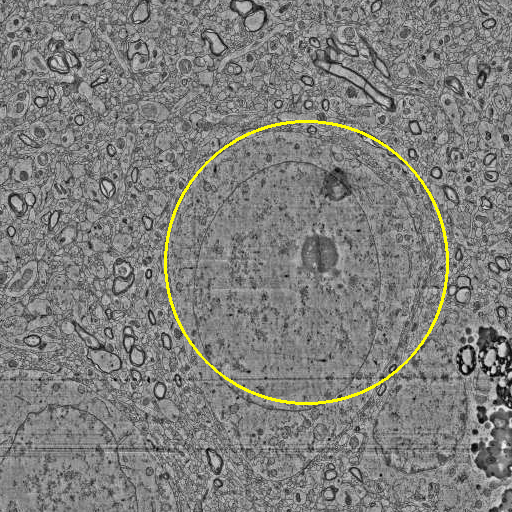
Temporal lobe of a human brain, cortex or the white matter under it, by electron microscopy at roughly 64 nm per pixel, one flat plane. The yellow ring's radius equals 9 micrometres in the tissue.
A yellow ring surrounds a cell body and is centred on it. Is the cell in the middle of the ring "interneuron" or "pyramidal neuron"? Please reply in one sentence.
The ring is centred on a pyramidal neuron.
